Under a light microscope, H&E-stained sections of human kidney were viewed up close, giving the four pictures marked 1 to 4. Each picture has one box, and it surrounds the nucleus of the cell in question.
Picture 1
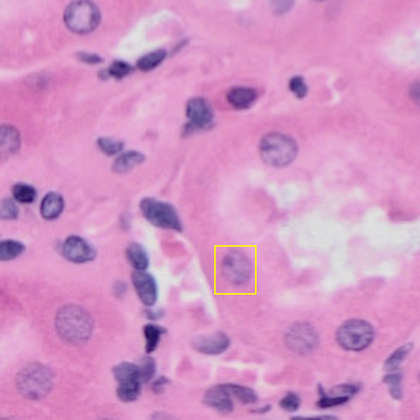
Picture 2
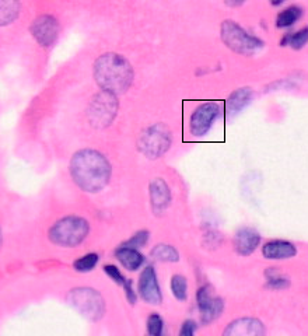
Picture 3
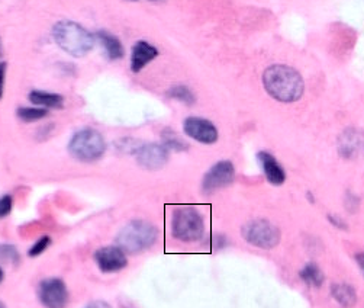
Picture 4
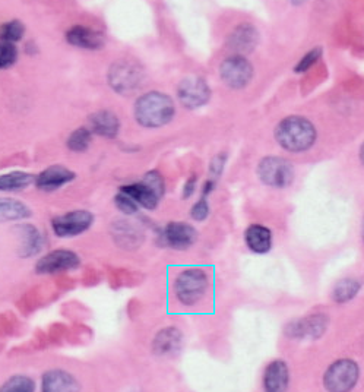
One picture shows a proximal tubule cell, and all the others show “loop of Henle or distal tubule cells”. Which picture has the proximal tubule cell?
1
